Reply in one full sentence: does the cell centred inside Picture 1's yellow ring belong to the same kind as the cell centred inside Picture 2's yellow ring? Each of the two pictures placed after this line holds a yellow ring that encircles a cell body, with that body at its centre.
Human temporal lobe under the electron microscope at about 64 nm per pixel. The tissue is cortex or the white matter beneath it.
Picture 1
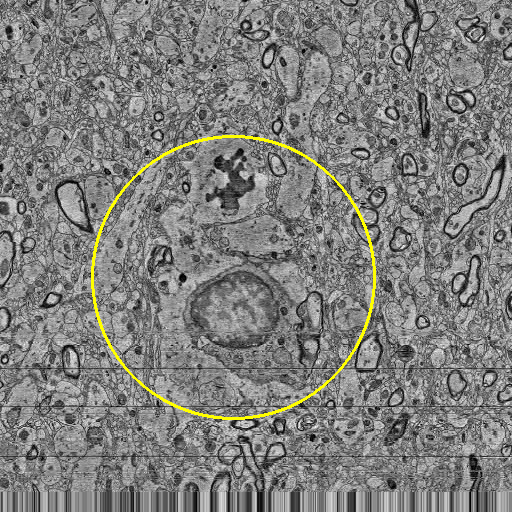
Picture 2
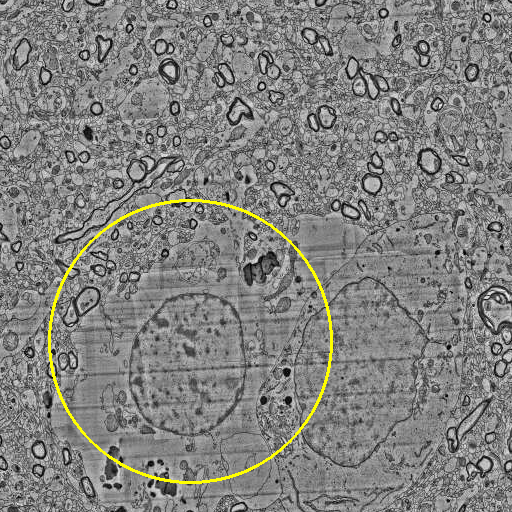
No, the ring-centred cells in Picture 1 and Picture 2 are of two separate kinds.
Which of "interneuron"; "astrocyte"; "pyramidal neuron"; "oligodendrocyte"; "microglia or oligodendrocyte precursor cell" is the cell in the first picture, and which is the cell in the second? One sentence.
The two differ: the first cell is an oligodendrocyte and the second is an astrocyte.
